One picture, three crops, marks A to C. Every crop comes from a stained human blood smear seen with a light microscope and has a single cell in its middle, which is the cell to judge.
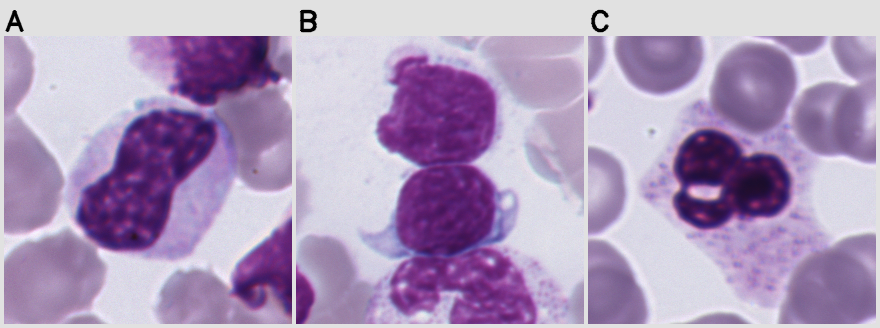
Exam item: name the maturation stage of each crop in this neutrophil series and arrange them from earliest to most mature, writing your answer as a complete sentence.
The maturity ranking, beginning with the least mature, is crop B (a myeloblast), crop A (a band neutrophil) and crop C (a segmented neutrophil).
